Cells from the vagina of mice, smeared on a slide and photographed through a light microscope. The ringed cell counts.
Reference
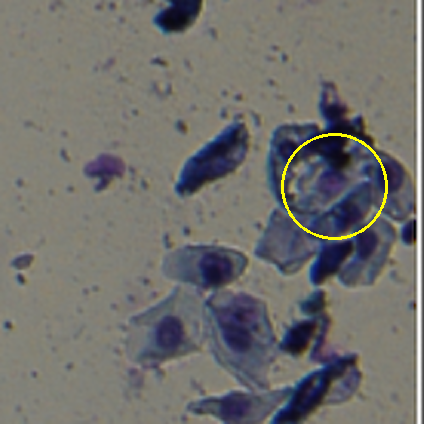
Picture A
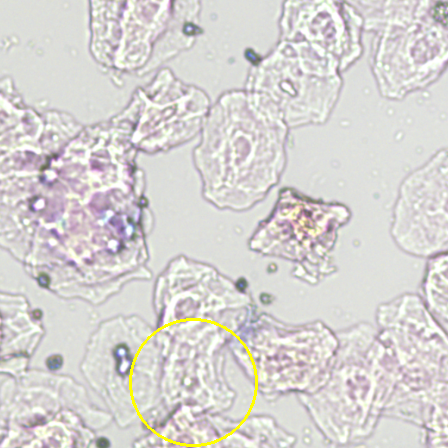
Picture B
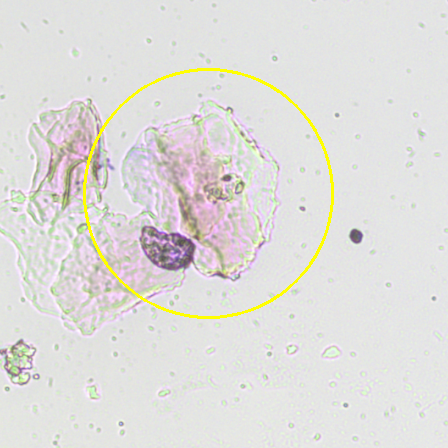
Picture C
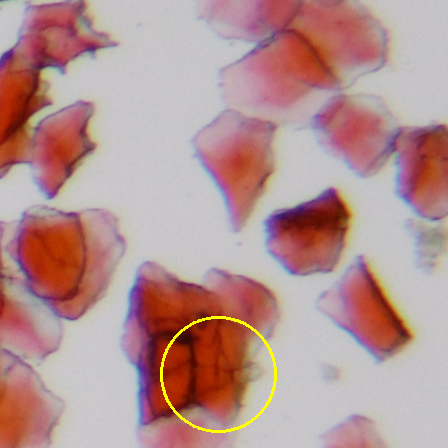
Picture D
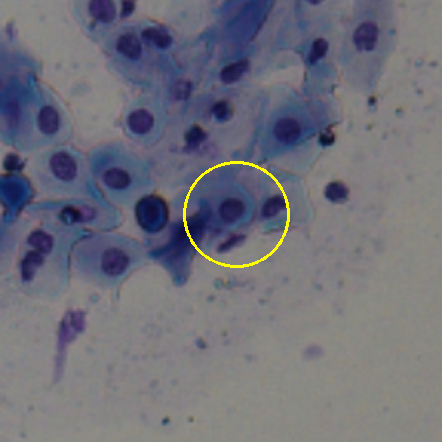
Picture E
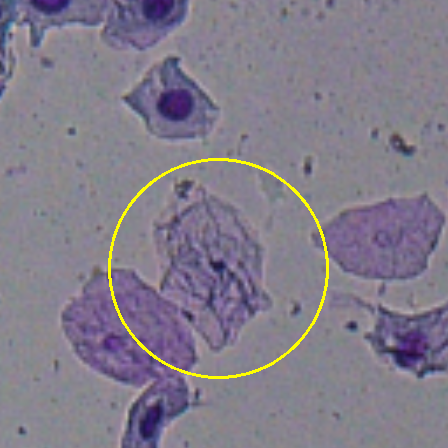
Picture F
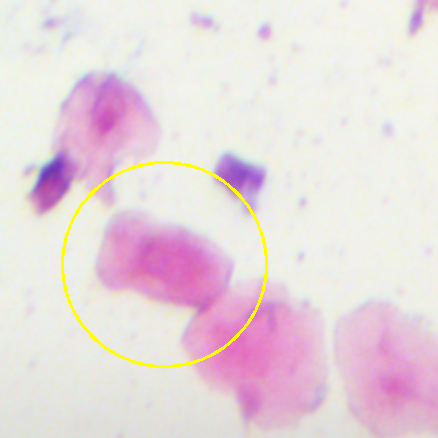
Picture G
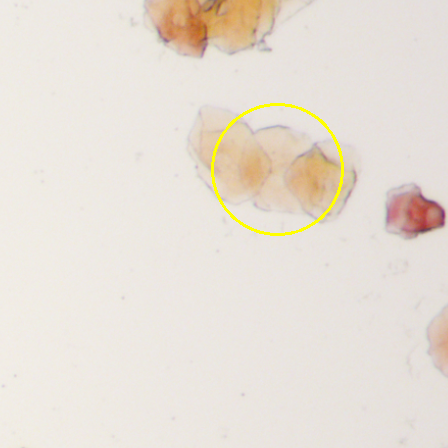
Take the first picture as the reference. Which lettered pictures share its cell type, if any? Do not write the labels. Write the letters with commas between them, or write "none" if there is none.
D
